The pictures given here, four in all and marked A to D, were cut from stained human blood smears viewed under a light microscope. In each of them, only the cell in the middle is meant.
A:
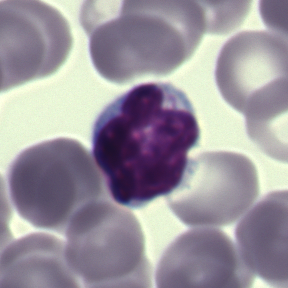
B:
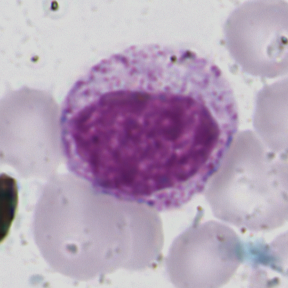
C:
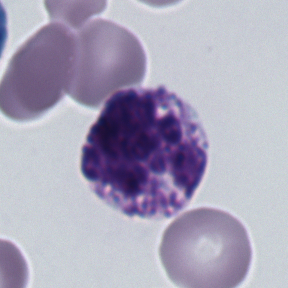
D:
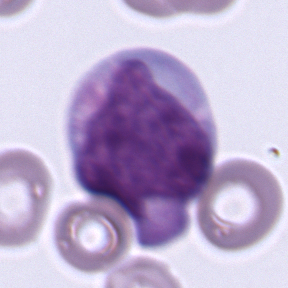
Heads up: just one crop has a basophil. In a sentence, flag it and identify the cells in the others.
Crop C is identified as a basophil, whereas crop A is a lymphocyte, crop B is a myelocyte and crop D is an atypical promyelocyte.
